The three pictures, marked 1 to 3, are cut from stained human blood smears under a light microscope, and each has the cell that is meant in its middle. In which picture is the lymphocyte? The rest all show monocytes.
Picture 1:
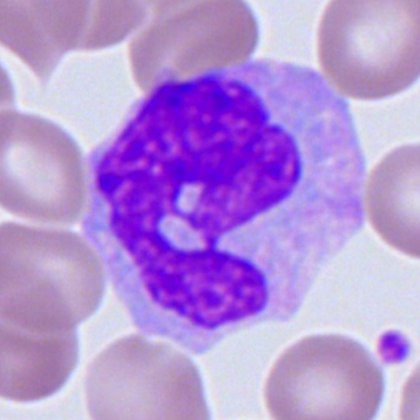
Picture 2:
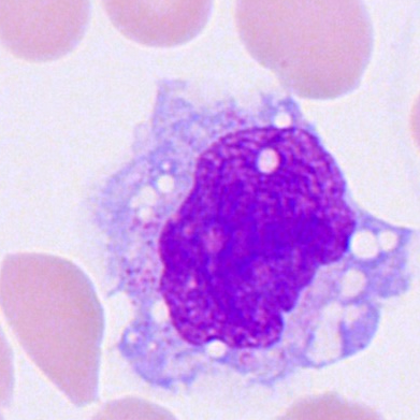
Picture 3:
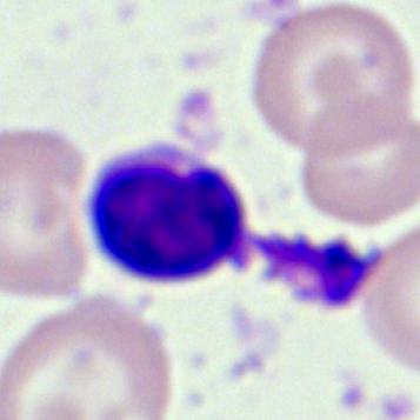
3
